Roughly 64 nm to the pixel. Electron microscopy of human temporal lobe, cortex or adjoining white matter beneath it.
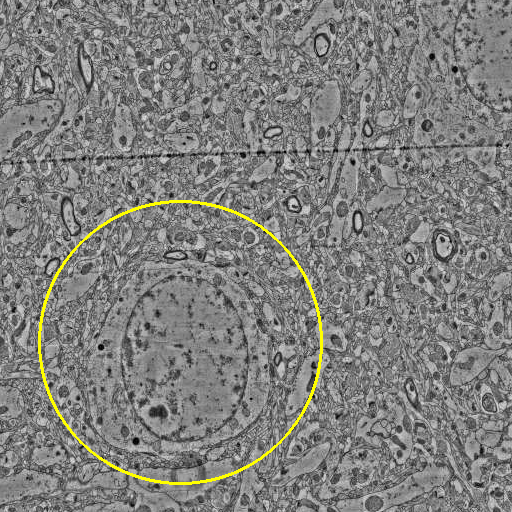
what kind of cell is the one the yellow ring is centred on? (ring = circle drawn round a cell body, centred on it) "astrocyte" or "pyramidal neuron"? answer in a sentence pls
The ring is drawn around a pyramidal neuron.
